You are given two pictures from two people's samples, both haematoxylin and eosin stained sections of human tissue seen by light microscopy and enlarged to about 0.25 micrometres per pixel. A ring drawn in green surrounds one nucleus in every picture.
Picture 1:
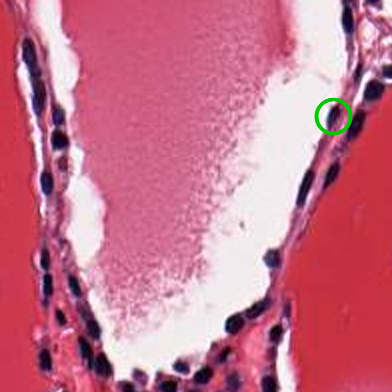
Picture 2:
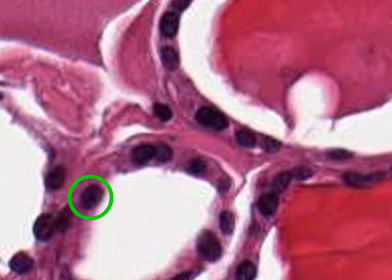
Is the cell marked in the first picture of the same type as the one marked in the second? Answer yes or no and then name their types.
Yes, both are thyroid follicular cells.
